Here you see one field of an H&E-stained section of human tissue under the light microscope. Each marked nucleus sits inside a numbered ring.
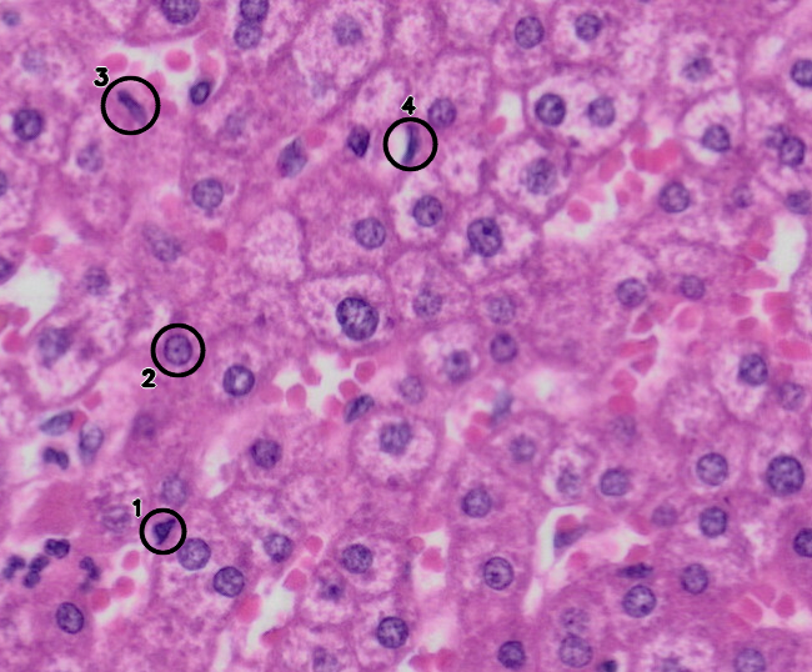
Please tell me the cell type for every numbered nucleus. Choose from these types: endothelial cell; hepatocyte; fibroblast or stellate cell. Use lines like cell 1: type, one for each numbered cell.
cell 1: fibroblast or stellate cell
cell 2: hepatocyte
cell 3: fibroblast or stellate cell
cell 4: endothelial cell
